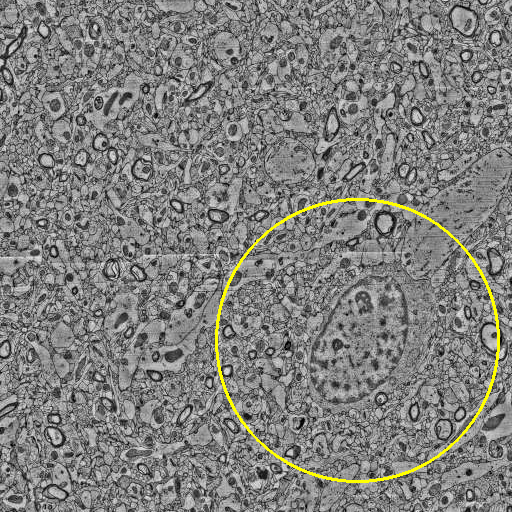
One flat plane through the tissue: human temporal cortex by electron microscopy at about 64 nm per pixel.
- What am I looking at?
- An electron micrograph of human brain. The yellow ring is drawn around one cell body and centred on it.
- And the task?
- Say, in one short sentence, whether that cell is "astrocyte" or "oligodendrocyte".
The cell in the middle of the ring is an oligodendrocyte.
